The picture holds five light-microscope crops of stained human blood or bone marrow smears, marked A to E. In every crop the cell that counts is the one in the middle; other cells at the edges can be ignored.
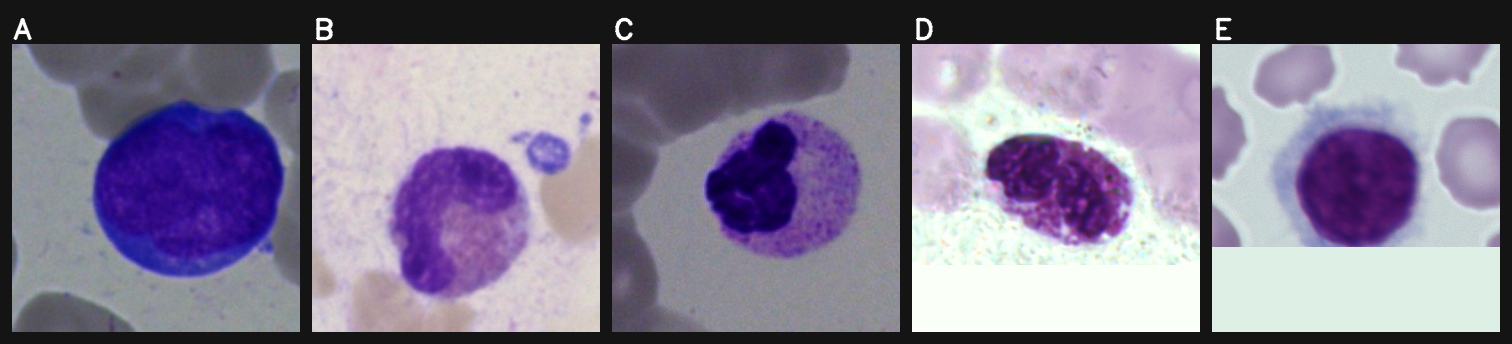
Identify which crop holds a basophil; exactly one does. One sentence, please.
Crop B, and no other, is the one that shows a basophil.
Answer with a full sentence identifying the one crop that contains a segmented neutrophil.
The crop marked C is the one that shows a segmented neutrophil.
